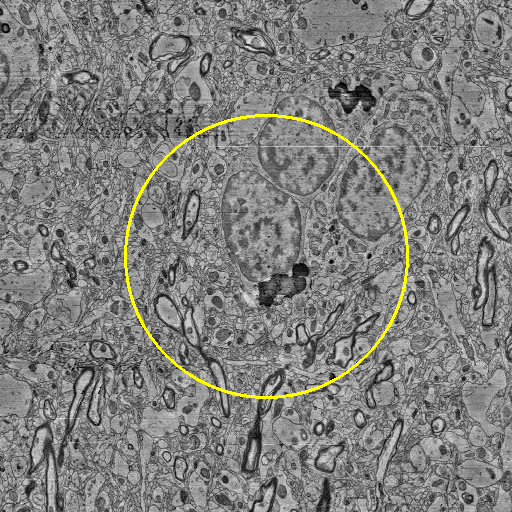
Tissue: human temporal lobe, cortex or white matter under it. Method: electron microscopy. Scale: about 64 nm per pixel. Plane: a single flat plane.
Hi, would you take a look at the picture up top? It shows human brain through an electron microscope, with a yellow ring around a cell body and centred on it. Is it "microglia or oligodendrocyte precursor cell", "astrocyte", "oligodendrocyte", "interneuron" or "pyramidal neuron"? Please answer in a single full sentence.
The best fit for the cell in the middle of the ring is an oligodendrocyte, I reckon.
